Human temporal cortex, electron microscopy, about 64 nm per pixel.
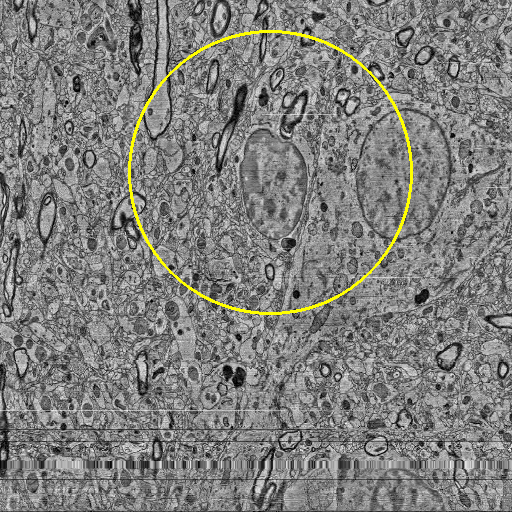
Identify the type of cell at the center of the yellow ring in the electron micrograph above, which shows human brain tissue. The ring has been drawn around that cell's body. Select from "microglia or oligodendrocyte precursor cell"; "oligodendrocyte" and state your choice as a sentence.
The yellow ring is centered on the body of a microglial cell or oligodendrocyte precursor cell.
